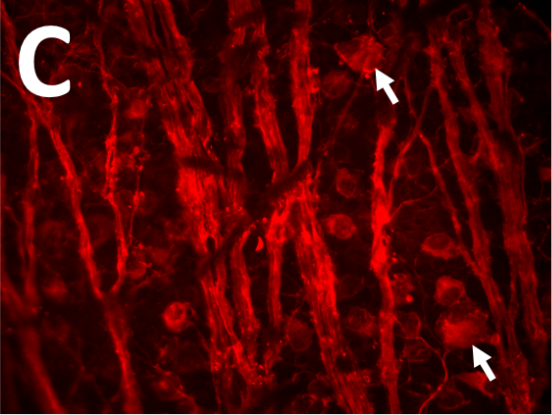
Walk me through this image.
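This flat view shows retinal ganglion cells and their axons, stained red. Long axons gather in roughly parallel bundles running across the field, with finer fibres branching between them, while rounded cell bodies lie scattered in the spaces between the bundles.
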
